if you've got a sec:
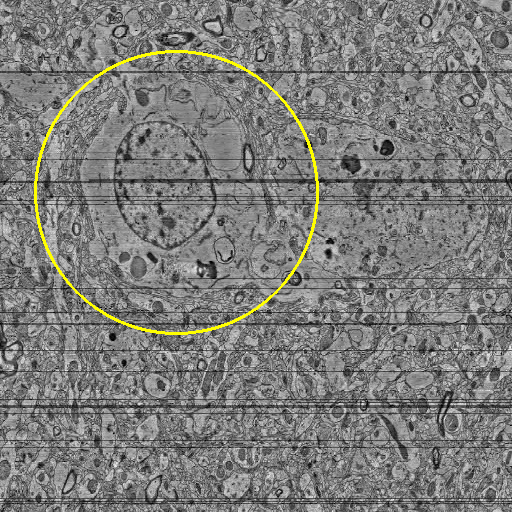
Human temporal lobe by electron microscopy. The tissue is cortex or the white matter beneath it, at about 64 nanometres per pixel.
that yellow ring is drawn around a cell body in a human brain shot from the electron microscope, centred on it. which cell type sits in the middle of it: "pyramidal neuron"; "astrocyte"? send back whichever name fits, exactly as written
astrocyte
